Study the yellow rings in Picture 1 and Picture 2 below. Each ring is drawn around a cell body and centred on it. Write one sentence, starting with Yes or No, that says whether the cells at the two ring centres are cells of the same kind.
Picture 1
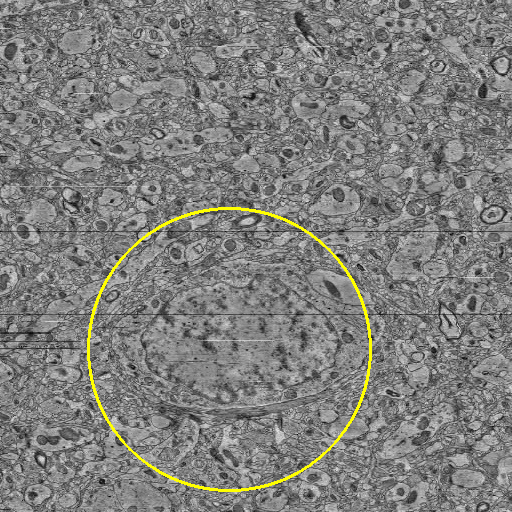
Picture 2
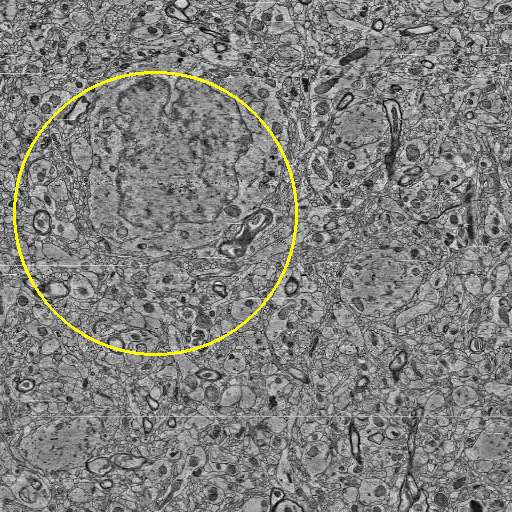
Yes, the cells at both ring centres are of the same kind.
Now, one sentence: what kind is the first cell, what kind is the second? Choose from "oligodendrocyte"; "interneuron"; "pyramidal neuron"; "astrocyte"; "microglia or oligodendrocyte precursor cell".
The cell at the ring centre is an interneuron in both pictures.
